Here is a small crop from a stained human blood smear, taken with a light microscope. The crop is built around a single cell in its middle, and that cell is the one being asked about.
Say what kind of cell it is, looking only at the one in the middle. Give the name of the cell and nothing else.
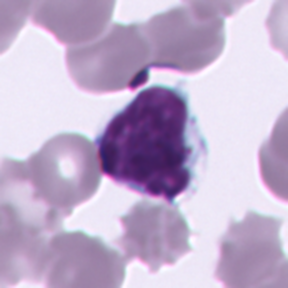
typical lymphocyte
